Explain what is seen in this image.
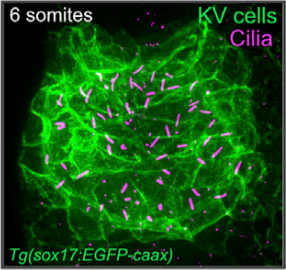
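The outlines form irregular polygons of varying size that fill most of the field. The cilia are straight or slightly curved and point in many different directions. A few magenta dots also lie outside the green meshwork near the upper edge.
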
